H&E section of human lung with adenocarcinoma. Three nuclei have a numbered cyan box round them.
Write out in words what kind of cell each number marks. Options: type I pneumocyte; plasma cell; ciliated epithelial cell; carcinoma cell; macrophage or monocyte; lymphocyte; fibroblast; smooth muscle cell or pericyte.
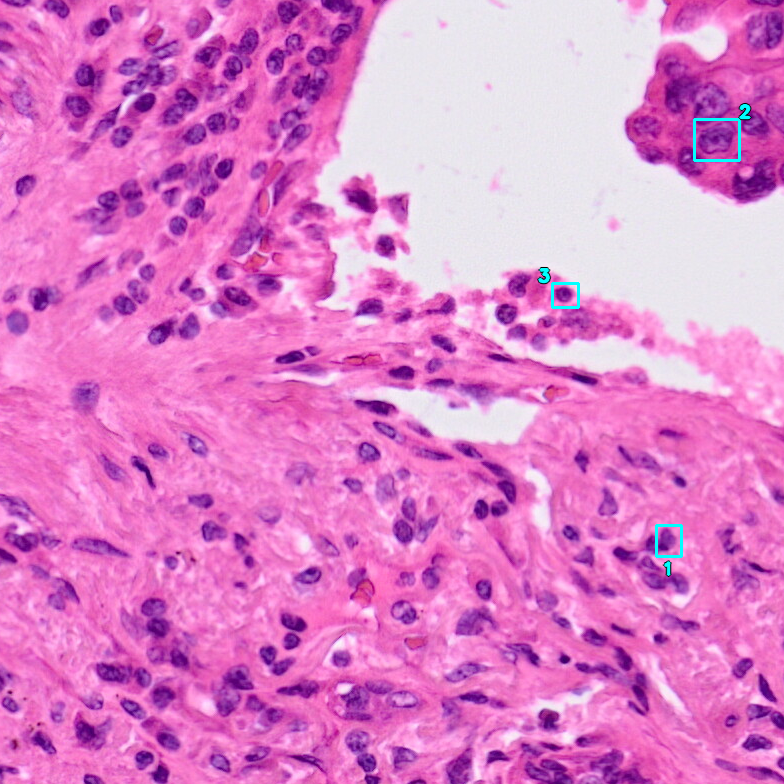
Cells 1 and 3 are lymphocytes. Cell 2 is a carcinoma cell.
